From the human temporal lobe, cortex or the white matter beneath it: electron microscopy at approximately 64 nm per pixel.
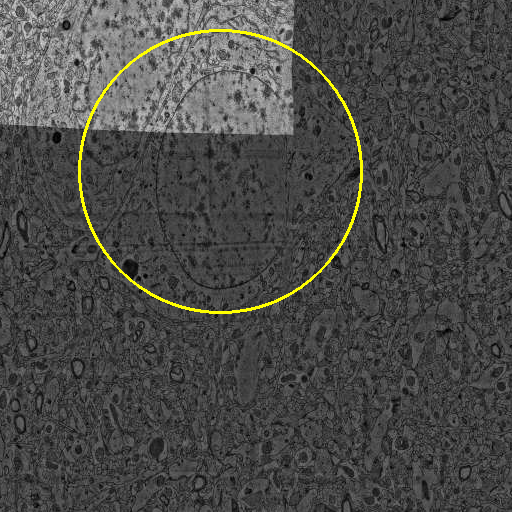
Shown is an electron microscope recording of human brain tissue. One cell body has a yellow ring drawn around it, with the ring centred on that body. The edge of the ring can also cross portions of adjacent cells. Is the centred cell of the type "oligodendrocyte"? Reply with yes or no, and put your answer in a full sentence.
No, in the picture, the cell on which the ring is centred has a different type.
